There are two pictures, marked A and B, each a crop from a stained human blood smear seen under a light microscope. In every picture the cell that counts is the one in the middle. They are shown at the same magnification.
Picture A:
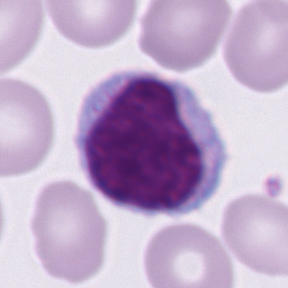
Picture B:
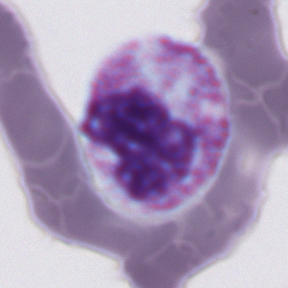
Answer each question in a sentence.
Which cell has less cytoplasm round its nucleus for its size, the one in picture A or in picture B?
It is the cell in picture A that is filled more by its nucleus.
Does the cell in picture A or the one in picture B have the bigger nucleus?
It is the nucleus in picture A, about 1.5 times as large in area as the one in picture B.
